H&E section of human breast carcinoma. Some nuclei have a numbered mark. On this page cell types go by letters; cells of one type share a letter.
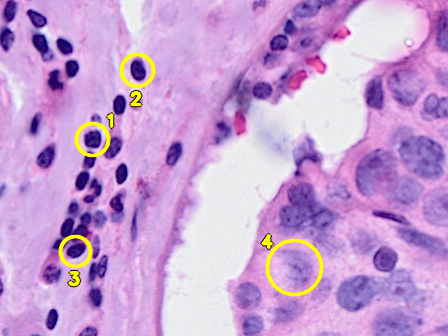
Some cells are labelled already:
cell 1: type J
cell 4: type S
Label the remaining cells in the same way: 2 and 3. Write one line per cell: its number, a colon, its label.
2: type J
3: type J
